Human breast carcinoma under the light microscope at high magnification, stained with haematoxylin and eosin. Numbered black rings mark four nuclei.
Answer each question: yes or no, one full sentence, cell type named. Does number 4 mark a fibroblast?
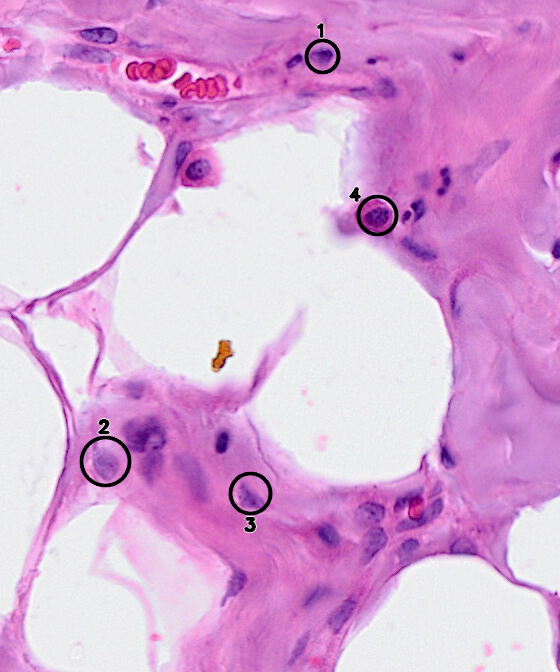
No, it is not a fibroblast that bears number 4 but a mast cell.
